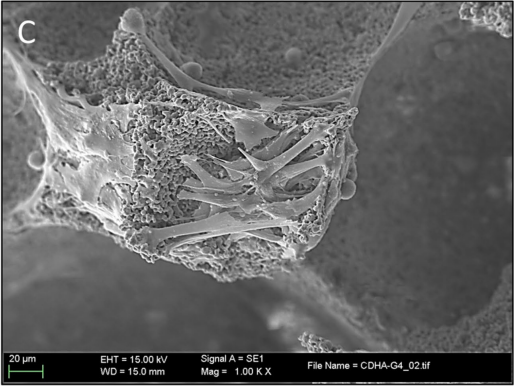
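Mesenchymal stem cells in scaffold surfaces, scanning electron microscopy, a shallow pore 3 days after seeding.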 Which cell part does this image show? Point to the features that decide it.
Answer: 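Broad and elongated cell extensions lie over the granular surface of a shallow pore. The extensions overlap and cross one another on the pore floor. On this evidence: cytoplasmic prolongations.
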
